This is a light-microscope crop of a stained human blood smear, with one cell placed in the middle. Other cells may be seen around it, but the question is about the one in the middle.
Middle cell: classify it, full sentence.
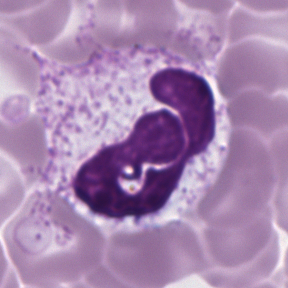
The cell the crop is centered on is a segmented neutrophil.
